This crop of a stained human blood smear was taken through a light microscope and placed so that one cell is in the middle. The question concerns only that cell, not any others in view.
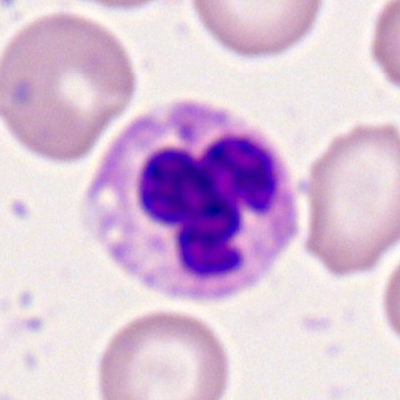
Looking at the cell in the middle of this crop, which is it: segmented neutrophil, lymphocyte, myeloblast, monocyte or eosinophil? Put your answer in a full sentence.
The target cell in the middle of the crop is a segmented neutrophil.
